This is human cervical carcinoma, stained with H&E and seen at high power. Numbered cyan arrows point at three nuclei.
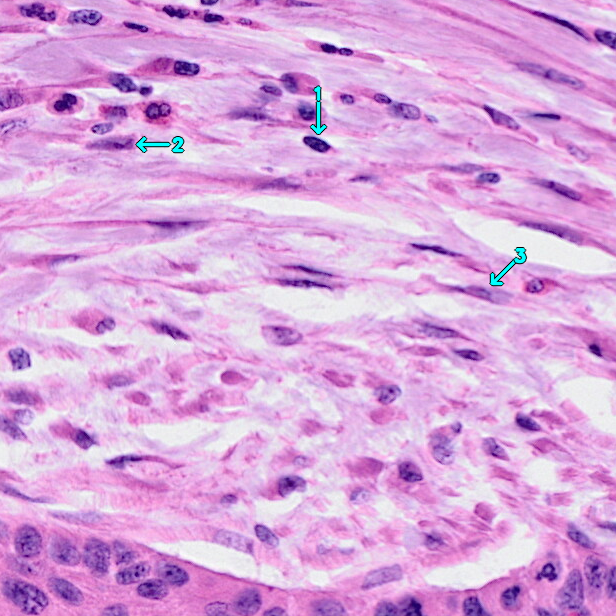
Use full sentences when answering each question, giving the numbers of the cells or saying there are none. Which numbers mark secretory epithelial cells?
There are no secretory epithelial cells among the cells marked with numbers.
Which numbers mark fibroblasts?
The cells picked out by numbers 2 and 3 are fibroblasts.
